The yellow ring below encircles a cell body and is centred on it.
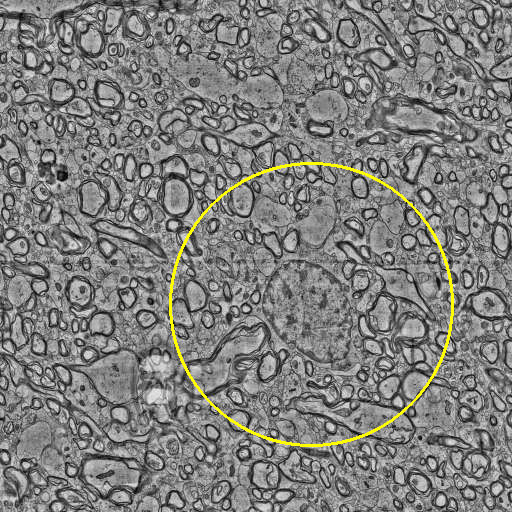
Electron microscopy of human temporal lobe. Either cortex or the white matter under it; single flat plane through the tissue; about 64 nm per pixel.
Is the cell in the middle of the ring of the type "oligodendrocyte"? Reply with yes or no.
yes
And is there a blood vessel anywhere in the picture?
No, no blood vessel can be seen.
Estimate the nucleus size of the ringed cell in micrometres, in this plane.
Approximately 7 micrometres long and 5 micrometres wide, in this plane.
